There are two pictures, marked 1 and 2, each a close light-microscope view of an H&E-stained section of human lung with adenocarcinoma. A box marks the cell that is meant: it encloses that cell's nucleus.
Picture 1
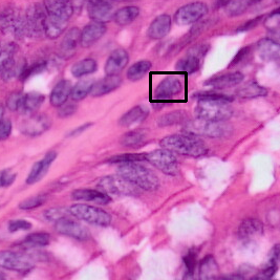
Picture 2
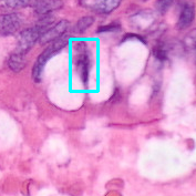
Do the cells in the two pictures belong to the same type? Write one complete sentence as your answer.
Yes; the cells in both pictures are ciliated epithelial cells.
